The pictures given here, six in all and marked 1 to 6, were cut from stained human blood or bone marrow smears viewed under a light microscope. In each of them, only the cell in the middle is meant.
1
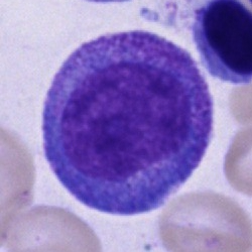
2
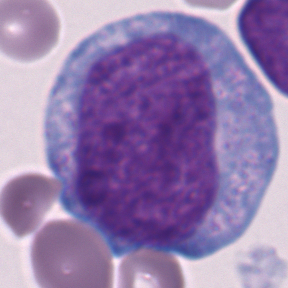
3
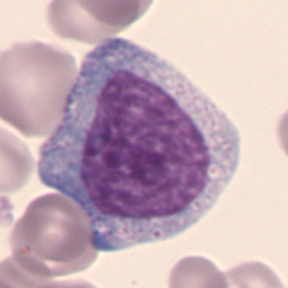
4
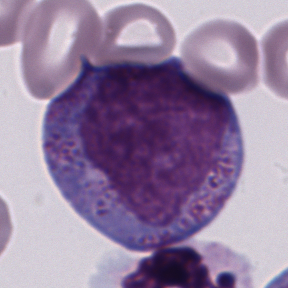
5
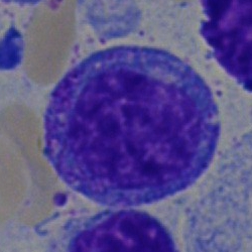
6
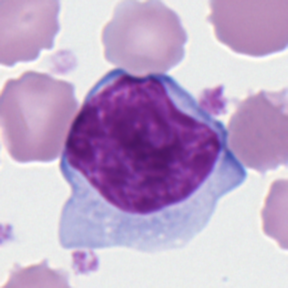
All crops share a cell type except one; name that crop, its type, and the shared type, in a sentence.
The crop that differs is 6, which is a monocyte; the rest are promyelocytes.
